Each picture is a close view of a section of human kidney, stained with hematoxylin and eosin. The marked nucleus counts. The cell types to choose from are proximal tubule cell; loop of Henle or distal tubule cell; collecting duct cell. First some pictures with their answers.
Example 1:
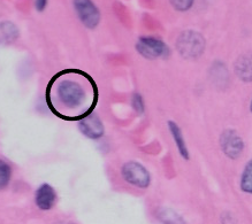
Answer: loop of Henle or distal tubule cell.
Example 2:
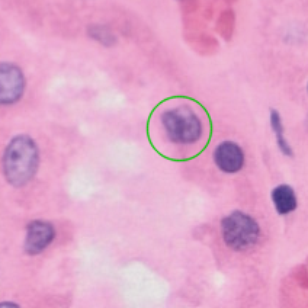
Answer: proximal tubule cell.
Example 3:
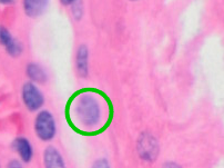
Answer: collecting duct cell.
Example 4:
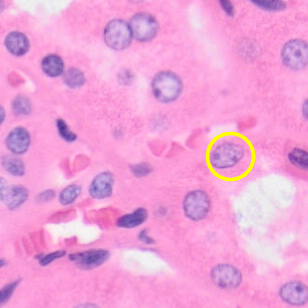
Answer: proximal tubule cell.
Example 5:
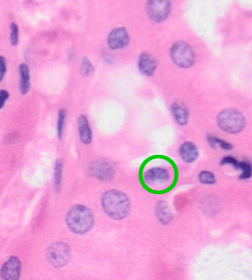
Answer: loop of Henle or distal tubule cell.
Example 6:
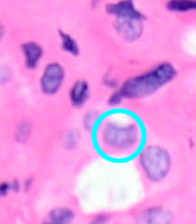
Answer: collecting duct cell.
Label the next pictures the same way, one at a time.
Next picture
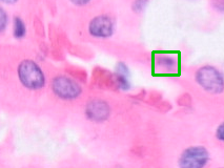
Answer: loop of Henle or distal tubule cell.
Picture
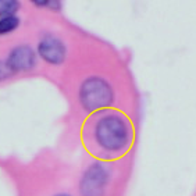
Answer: collecting duct cell.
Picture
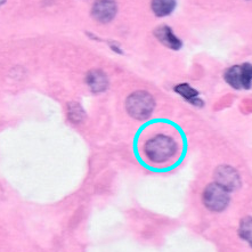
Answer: proximal tubule cell.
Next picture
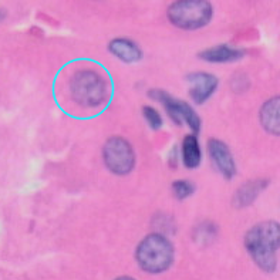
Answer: proximal tubule cell.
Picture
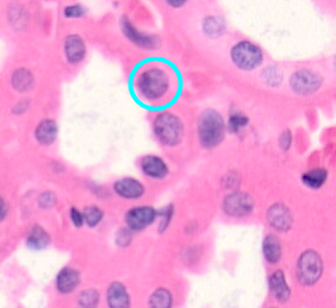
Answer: loop of Henle or distal tubule cell.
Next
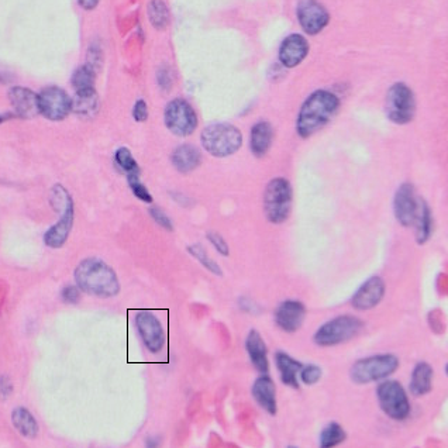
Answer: collecting duct cell.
